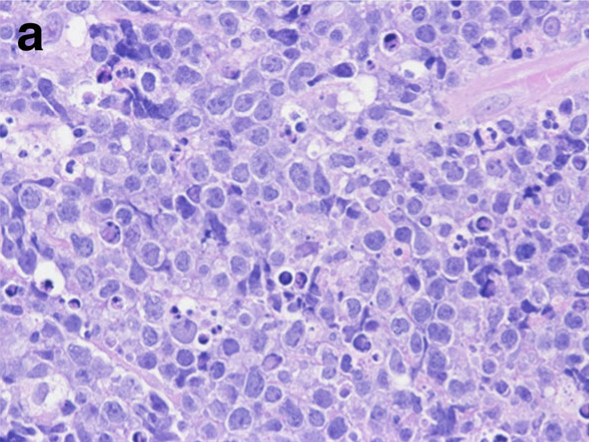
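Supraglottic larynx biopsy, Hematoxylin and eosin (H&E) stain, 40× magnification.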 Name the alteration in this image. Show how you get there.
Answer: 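Dense sheets of crowded dark-blue tumor cells fill the field. Scattered pale clear spaces containing dark fragmented debris are spread among the sheets. The answer: “starry-sky” pattern.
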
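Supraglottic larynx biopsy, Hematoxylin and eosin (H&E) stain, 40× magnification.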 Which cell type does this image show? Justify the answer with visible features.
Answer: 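Diffuse sheets of medium-sized round cells with no glandular or squamous arrangement. Cells have round nuclei with scant cytoplasm.
Poorly differentiated lymphoid cells.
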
